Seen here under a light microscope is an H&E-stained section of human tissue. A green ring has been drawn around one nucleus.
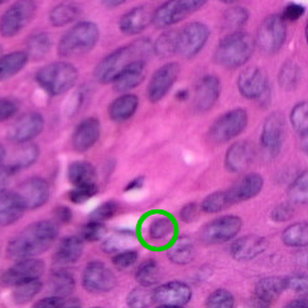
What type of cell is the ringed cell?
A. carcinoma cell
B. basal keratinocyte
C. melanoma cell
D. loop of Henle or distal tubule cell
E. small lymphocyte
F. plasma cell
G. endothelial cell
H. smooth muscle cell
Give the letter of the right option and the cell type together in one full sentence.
In this case the ringed cell is a basal keratinocyte, so option B is correct.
